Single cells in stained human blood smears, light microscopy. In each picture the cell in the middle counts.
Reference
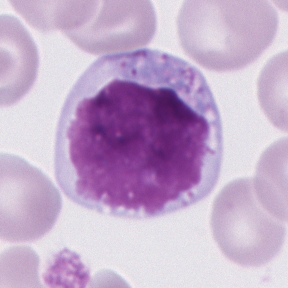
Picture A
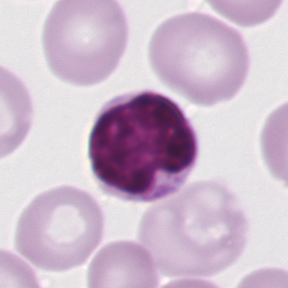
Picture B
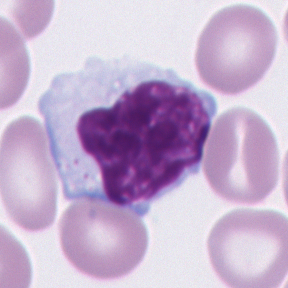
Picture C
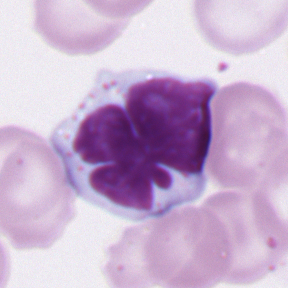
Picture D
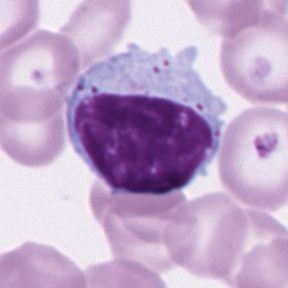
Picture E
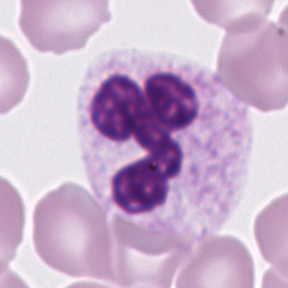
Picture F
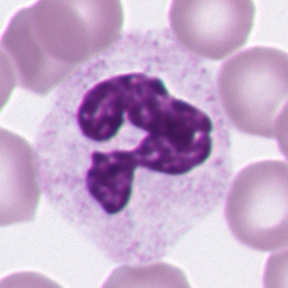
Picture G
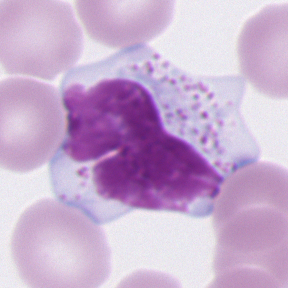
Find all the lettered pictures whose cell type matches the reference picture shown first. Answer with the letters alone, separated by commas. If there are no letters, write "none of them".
A, B, C, D, G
